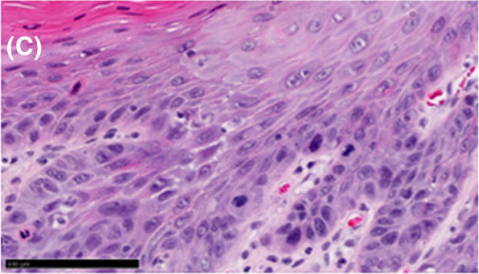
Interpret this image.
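Keratinocytes in the squamous epithelium show marked nuclear atypia, with enlarged, irregular and in places very dark nuclei in the lower layers. Higher up, the cells have abundant pale pink cytoplasm and rounder vesicular nuclei, and a compact pink keratin layer lies at the top. A few cells with dense eosinophilic cytoplasm stand out singly among their neighbours.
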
